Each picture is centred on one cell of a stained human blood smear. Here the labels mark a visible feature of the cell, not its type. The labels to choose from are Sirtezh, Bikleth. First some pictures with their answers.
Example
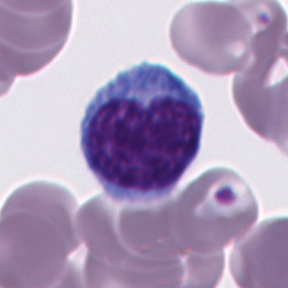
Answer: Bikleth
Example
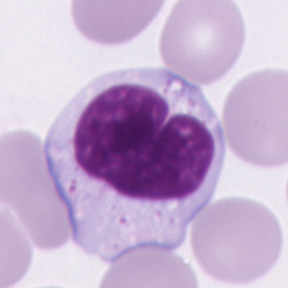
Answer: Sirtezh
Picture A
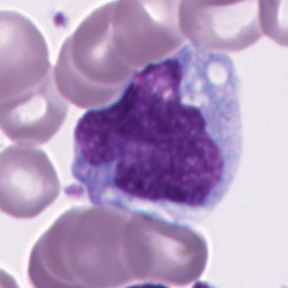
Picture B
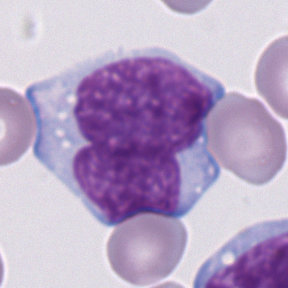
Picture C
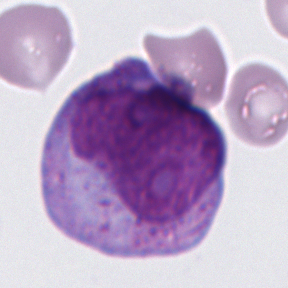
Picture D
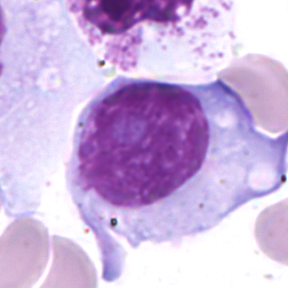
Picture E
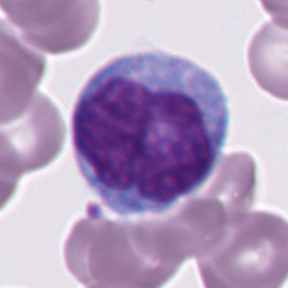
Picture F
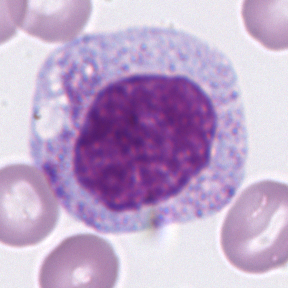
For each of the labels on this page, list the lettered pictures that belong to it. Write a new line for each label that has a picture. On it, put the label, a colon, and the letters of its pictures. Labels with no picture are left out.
Sirtezh: A, B, D, F
Bikleth: C, E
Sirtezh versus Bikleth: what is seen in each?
Sirtezh, vacuoles present; Bikleth, no vacuoles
